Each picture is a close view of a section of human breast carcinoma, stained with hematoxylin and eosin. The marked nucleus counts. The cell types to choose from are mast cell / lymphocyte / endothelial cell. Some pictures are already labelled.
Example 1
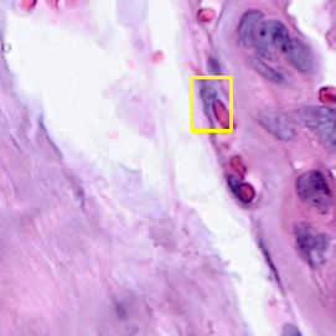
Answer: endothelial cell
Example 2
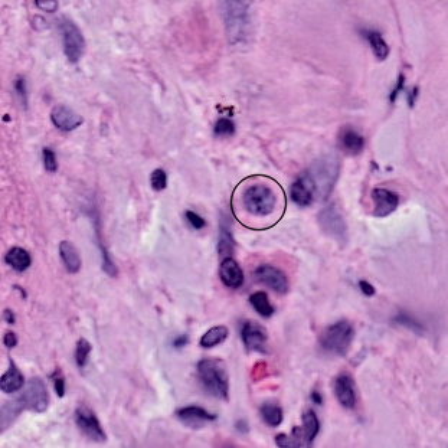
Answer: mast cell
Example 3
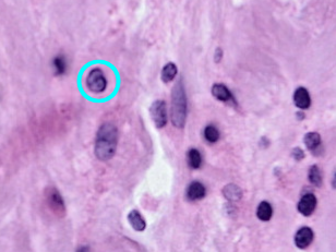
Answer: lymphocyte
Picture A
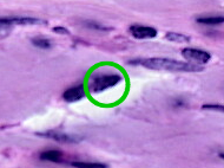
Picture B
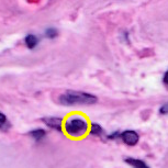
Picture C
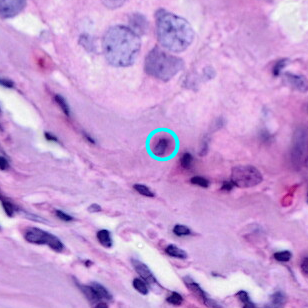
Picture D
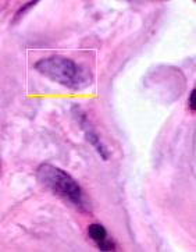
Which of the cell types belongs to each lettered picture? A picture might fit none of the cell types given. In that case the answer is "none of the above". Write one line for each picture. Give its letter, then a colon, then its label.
A: lymphocyte
B: lymphocyte
C: mast cell
D: none of the above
